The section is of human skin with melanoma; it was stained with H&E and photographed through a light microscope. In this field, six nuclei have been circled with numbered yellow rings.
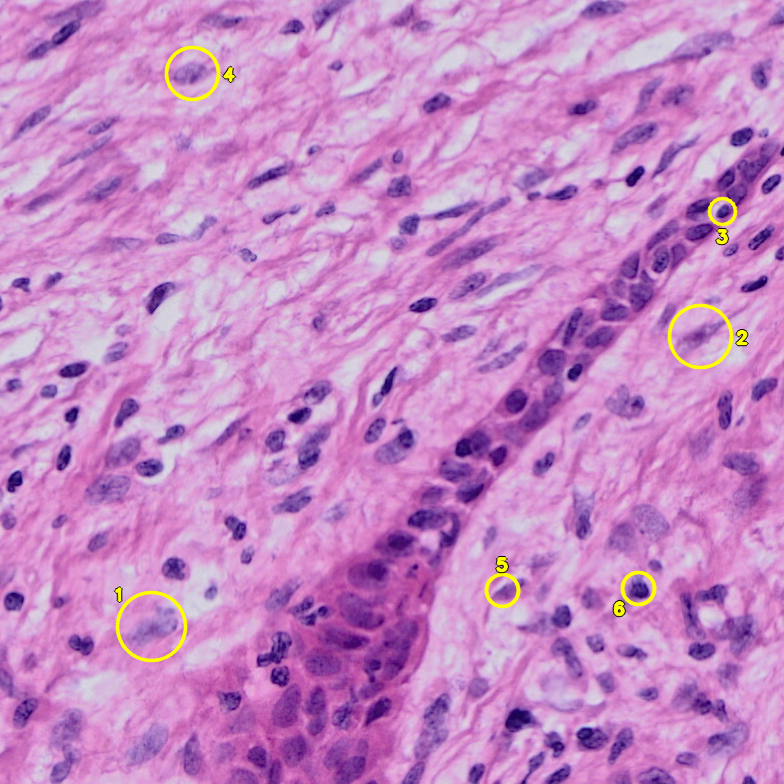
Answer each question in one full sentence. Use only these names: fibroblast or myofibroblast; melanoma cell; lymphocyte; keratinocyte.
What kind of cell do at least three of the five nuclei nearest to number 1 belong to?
The majority of the five nuclei closest to number 1 belong to lymphocytes.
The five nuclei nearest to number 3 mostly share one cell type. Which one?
The majority of the five nuclei closest to number 3 belong to keratinocytes.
